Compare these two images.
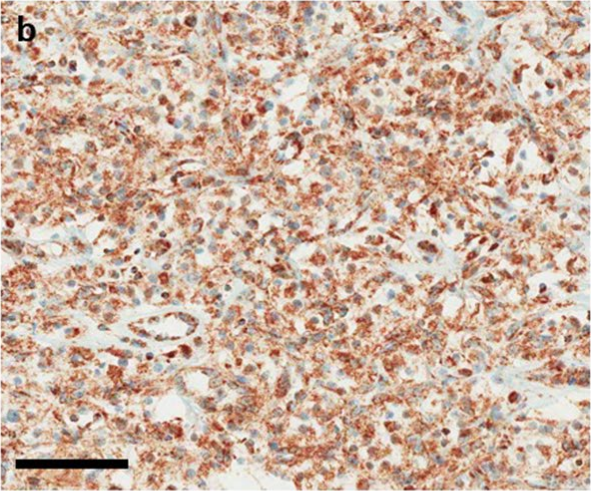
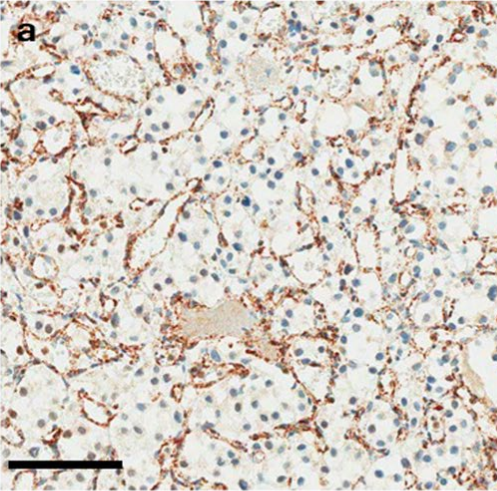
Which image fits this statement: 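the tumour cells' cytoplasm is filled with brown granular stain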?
The first image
